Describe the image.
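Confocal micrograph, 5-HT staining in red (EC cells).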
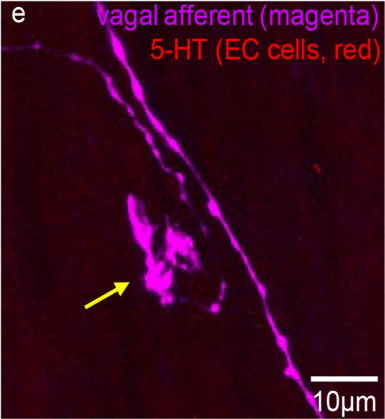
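A long, thin, beaded magenta nerve fibre runs diagonally across the field, with a second finer fibre alongside it. Near the middle, set apart from the fibre, lies a compact, irregular cluster of flattened magenta processes forming a leaf-like ending, with a few fine threads trailing from it. The fibres show varicosities along their course. Only a faint red patch is seen, so no red-stained cell lies close to this ending in the field.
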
